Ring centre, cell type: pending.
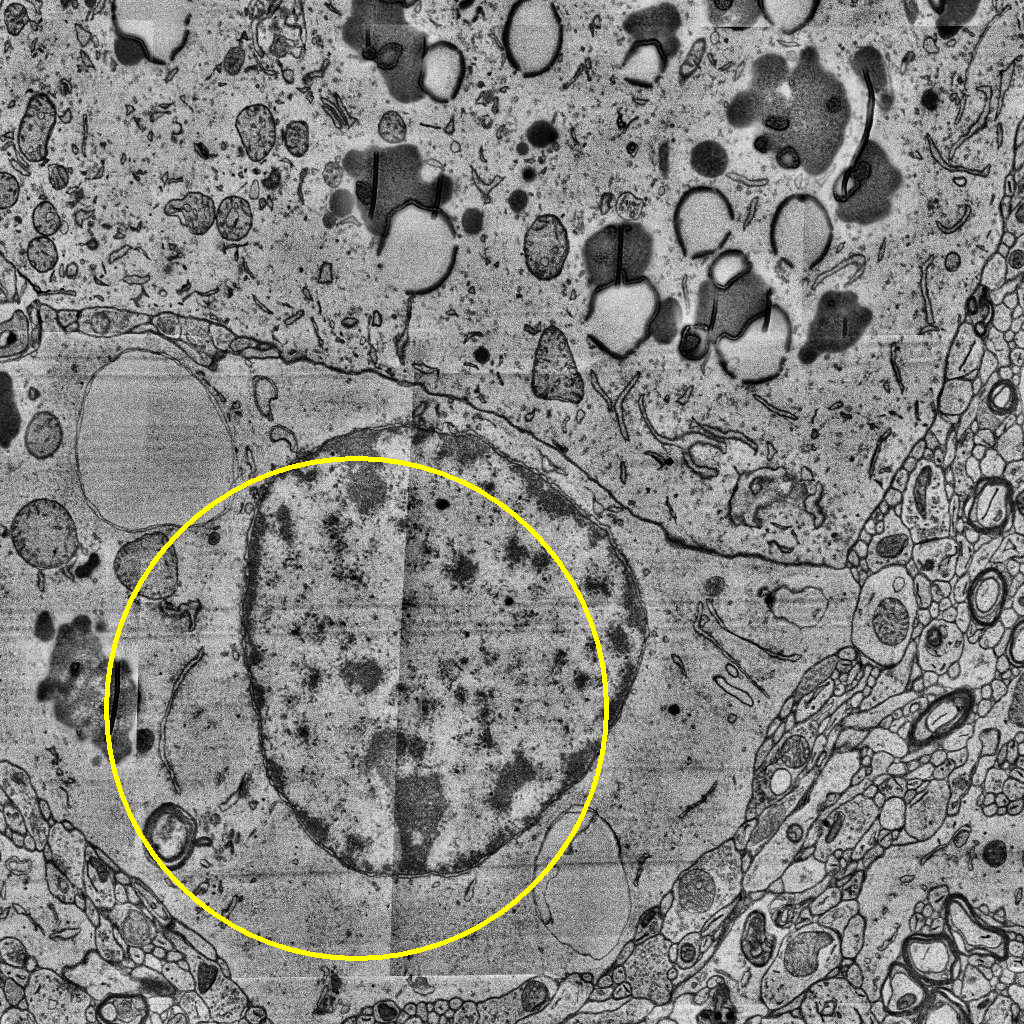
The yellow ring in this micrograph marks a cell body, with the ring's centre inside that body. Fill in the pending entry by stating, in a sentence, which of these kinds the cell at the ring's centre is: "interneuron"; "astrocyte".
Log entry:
The cell at the ring's centre is recorded as an astrocyte.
